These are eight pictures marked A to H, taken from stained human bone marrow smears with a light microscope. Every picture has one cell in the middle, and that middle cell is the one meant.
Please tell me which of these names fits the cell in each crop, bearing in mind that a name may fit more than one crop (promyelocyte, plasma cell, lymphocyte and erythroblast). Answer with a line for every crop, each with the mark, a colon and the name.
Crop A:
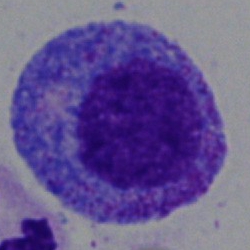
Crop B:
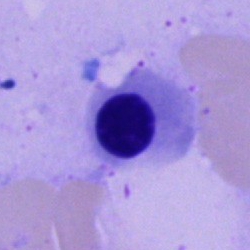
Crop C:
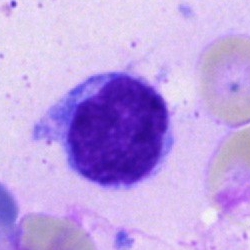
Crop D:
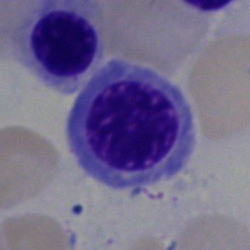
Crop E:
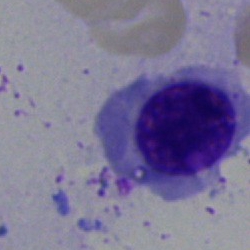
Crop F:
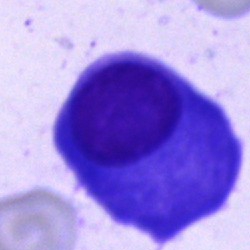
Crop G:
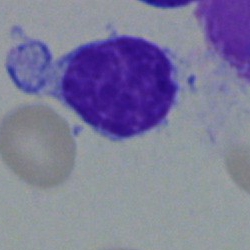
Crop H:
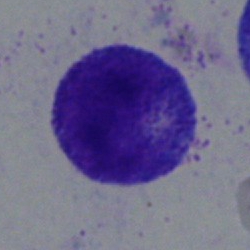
A: promyelocyte
B: erythroblast
C: lymphocyte
D: erythroblast
E: erythroblast
F: plasma cell
G: lymphocyte
H: promyelocyte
